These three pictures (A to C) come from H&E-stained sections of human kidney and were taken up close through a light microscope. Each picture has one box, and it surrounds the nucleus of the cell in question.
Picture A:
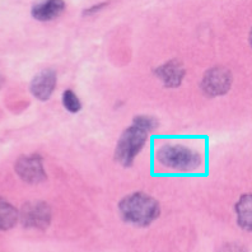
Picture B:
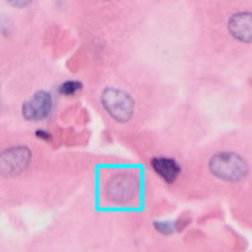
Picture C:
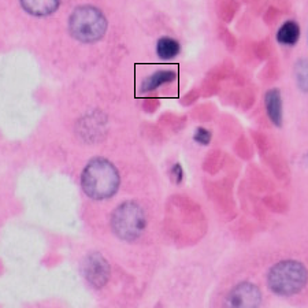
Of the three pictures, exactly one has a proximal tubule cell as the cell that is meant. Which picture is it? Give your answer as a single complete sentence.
Picture B is the one that shows the proximal tubule cell.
